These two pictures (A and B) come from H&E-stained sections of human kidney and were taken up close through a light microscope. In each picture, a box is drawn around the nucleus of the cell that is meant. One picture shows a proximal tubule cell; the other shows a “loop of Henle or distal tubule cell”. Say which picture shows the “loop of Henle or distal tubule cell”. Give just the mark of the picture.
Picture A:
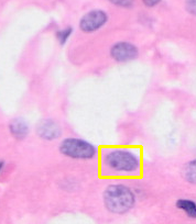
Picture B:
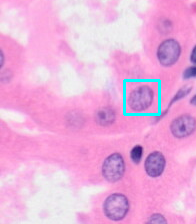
A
